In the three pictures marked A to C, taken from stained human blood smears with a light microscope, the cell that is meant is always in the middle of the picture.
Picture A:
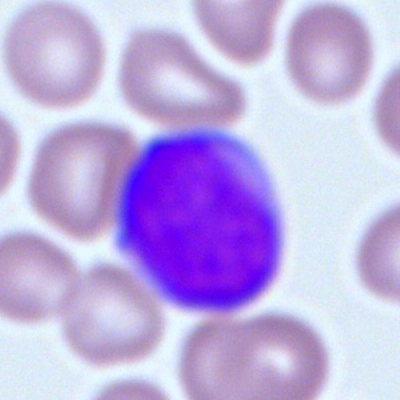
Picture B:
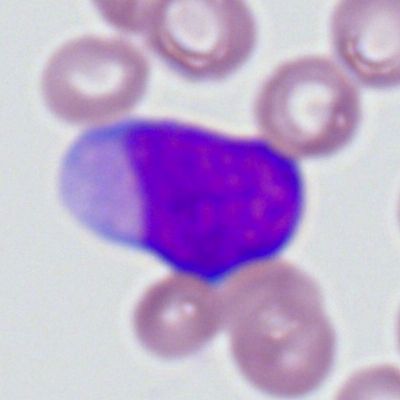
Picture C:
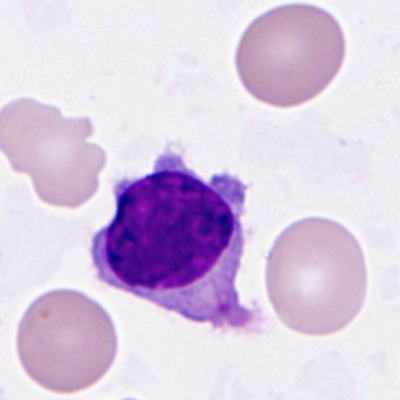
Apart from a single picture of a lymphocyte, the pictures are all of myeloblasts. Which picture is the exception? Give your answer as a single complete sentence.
It is picture C that shows the lymphocyte.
